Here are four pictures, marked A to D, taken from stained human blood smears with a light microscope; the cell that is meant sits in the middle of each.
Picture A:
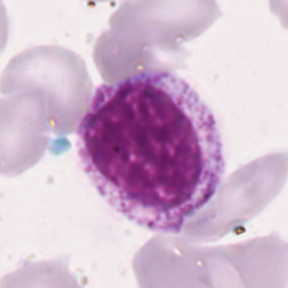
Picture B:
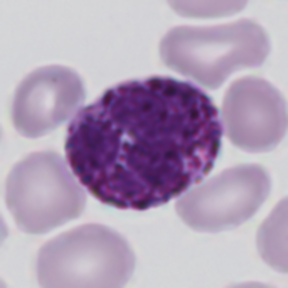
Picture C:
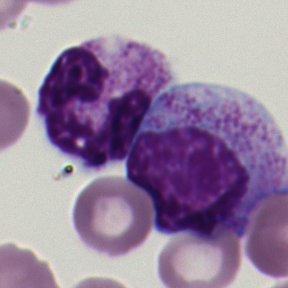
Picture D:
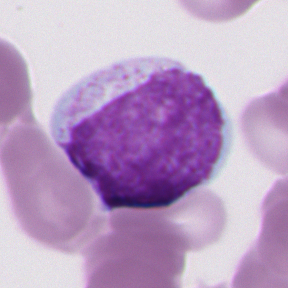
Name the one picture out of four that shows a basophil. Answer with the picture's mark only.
B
